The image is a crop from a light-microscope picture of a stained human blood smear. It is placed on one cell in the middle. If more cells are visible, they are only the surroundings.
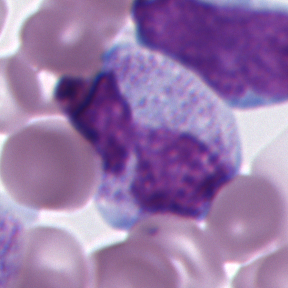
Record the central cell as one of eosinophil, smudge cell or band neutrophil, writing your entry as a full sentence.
By type, the central cell of the crop is a band neutrophil.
